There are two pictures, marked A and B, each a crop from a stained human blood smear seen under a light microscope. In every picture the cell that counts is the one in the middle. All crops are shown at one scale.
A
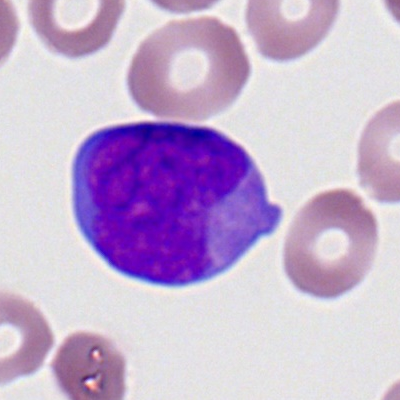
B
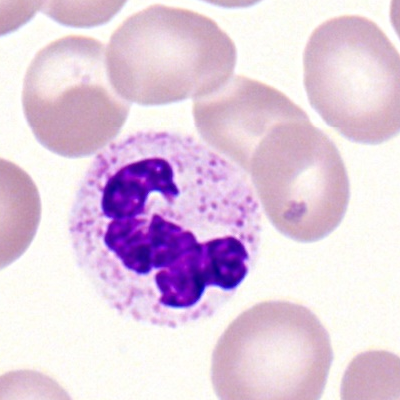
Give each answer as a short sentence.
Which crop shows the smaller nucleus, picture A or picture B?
The nucleus in picture B is smaller; the one in picture A has about 2 times its area.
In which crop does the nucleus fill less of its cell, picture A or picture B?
In picture B the nucleus takes up the smaller part of its cell.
